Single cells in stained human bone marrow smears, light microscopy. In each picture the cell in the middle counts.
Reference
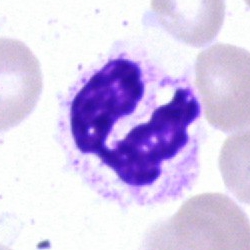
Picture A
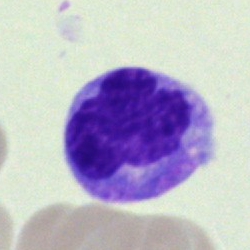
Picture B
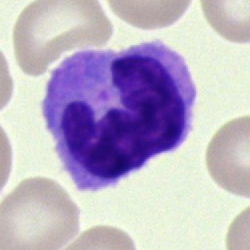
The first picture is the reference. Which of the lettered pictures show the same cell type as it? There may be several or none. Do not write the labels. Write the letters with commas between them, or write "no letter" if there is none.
no letter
